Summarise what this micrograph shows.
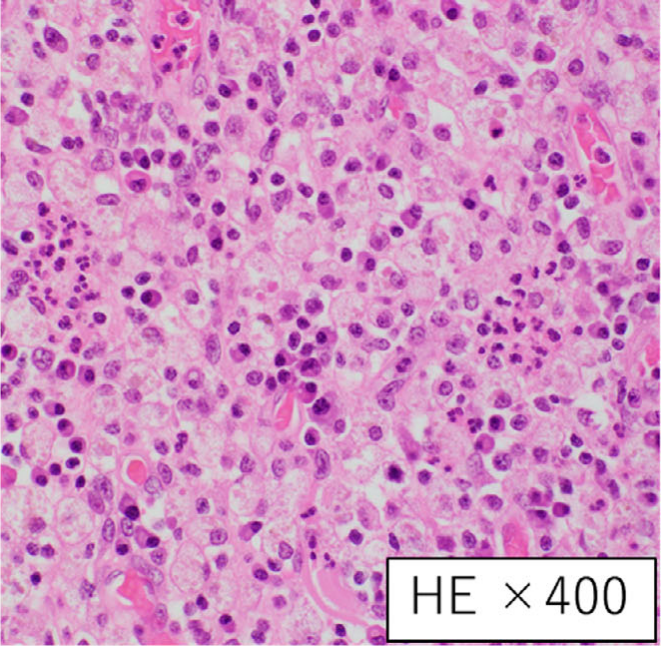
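This is a dense mixed infiltrate made of large foamy xanthoma cells, lymphocytes and plasma cells. The xanthoma cells are large, with abundant pale pink, finely vacuolated cytoplasm and round to oval vesicular nuclei, some with a small nucleolus. Between them lie many small lymphocytes with round, dark nuclei and hardly any cytoplasm. Plasma cells are scattered among them, with eccentric dark nuclei and a rim of pink cytoplasm. Small vessels containing red blood cells run through the sheet of cells, and no normal glands are seen in this field.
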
